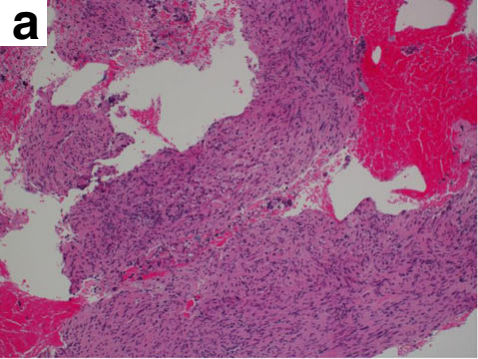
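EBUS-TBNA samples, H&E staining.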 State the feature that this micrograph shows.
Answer: Fascicular pattern.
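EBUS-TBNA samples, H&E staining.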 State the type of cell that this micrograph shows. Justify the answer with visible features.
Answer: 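Cells are densely packed in sheets. The answer: spindle-shaped tumor cells.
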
